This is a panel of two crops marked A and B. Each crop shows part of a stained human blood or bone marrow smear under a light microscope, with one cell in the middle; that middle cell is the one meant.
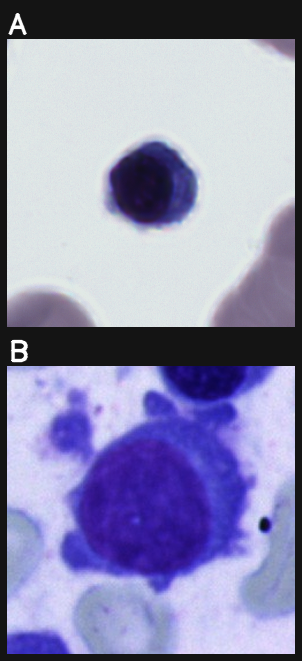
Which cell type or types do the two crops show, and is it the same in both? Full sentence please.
Yes, the cells of interest in both crops are plasma cells.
